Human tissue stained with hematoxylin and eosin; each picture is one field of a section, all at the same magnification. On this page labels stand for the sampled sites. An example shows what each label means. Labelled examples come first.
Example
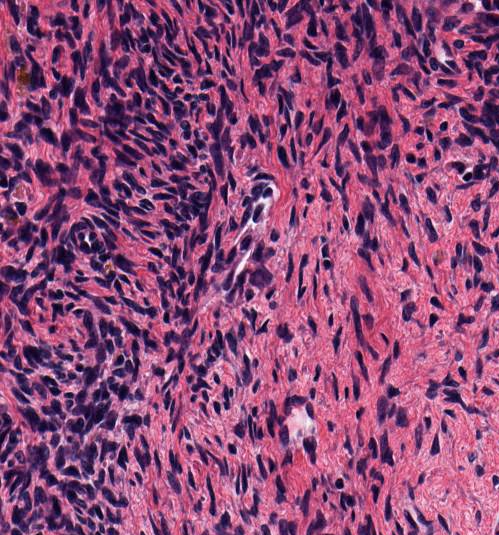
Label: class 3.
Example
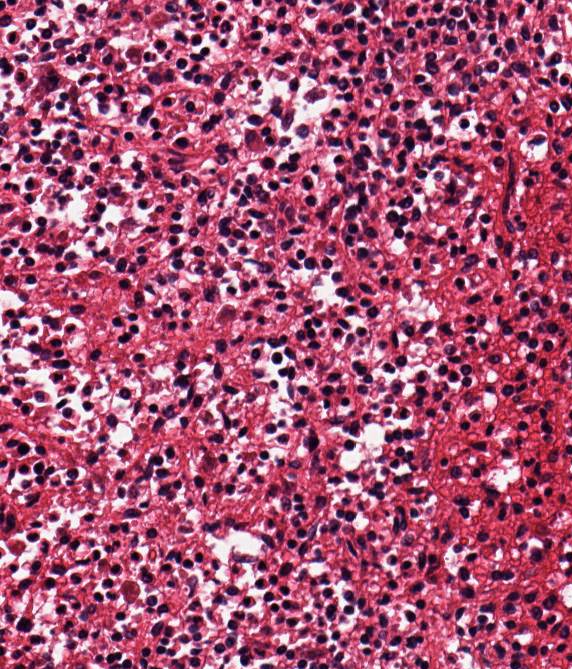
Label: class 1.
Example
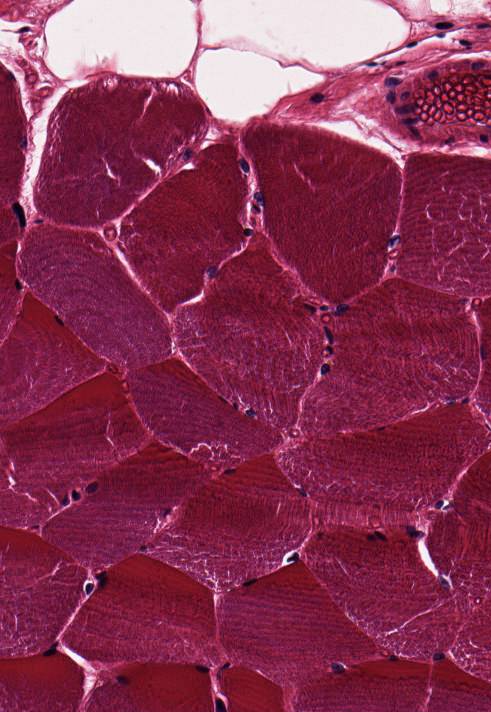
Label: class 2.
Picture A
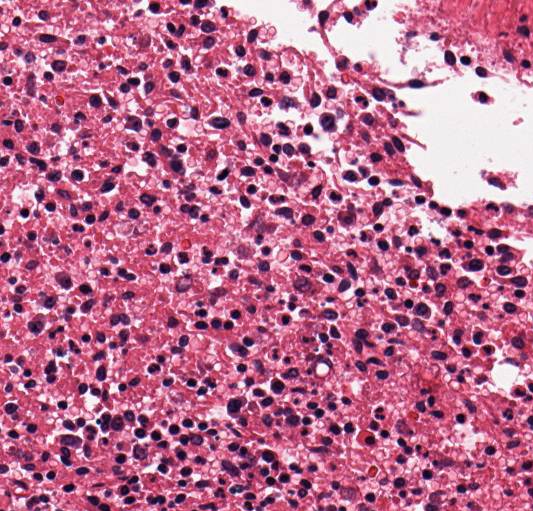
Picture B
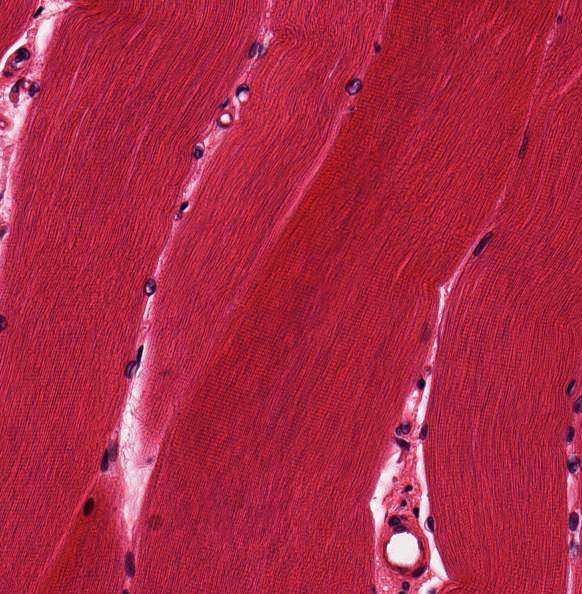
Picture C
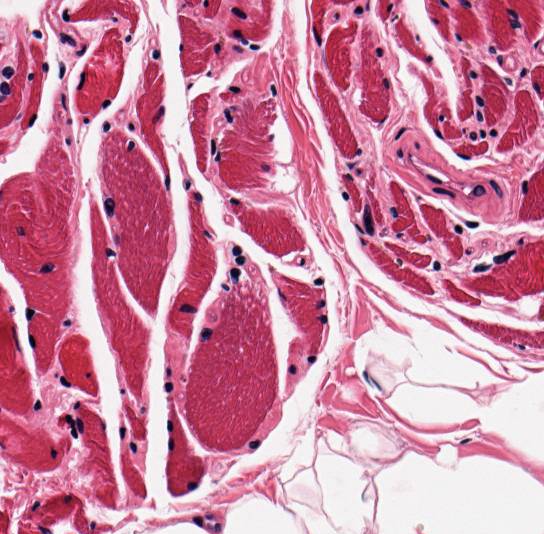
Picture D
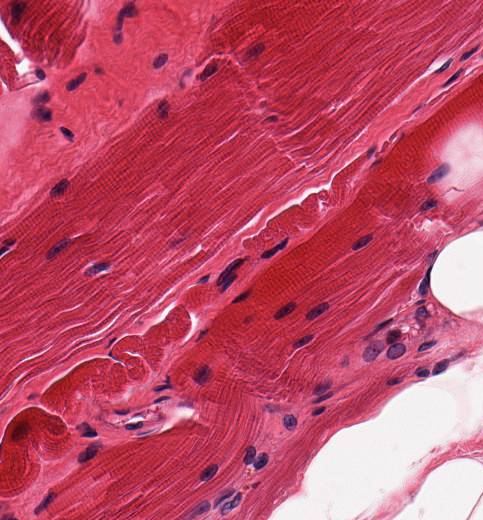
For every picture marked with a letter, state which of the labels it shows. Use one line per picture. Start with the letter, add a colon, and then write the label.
A: class 1.
B: class 2.
C: class 2.
D: class 2.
